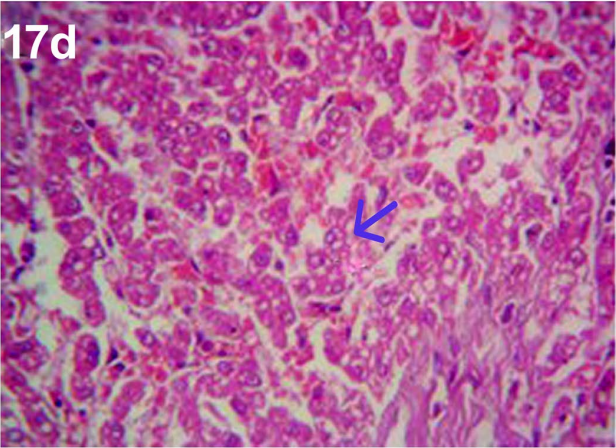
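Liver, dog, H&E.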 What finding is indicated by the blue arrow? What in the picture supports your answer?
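The marked cell has pale, finely vacuolated cytoplasm.
Hence: microsteatosis.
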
